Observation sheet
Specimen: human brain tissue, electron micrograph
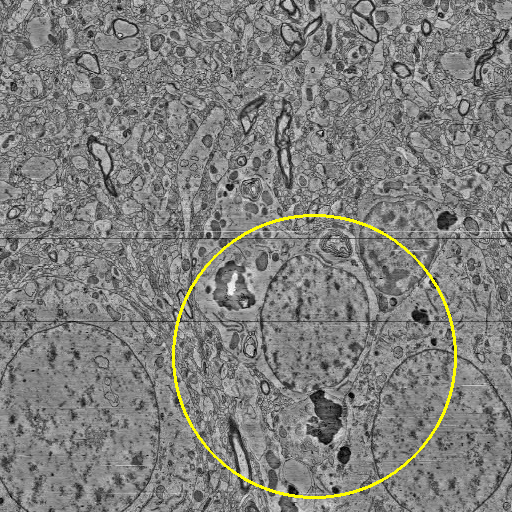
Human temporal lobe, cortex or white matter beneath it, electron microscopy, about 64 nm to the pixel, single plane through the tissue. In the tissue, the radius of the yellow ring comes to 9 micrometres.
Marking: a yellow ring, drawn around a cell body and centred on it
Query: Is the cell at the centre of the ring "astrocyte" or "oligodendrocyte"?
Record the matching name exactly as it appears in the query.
astrocyte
